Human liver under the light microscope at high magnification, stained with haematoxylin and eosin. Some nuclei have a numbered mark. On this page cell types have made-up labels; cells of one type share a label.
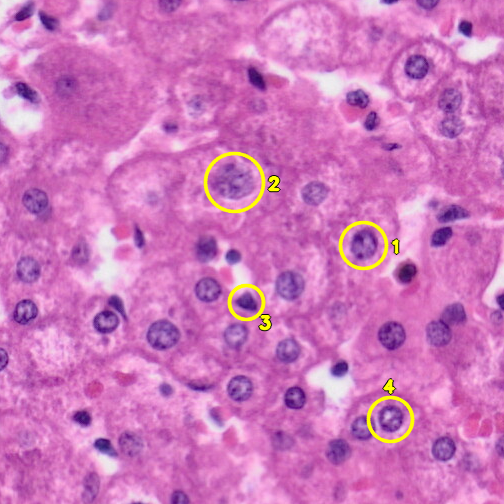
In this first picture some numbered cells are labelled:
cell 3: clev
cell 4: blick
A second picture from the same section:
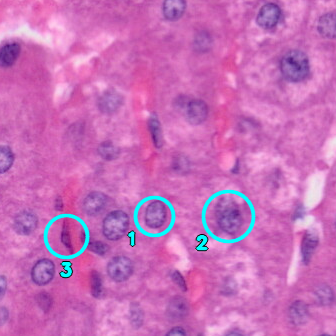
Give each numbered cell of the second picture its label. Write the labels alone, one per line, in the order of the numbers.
blick
blick
clev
